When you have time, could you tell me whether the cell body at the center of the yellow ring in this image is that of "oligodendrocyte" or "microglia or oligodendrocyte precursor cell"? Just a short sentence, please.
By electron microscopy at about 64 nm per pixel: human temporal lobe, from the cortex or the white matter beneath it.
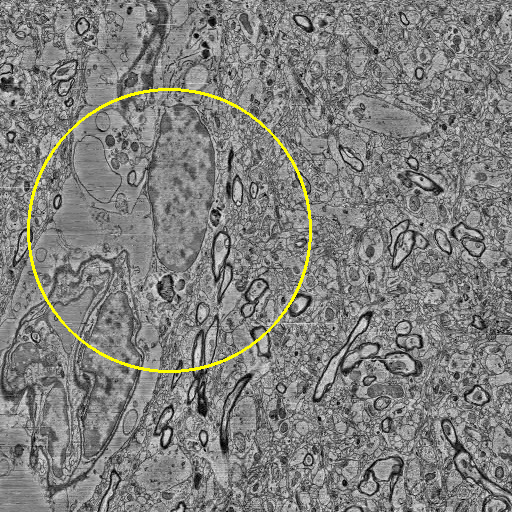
The cell body at the center of the ring is that of a microglial cell or oligodendrocyte precursor cell.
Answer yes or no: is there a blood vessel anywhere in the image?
Yes, one is visible.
